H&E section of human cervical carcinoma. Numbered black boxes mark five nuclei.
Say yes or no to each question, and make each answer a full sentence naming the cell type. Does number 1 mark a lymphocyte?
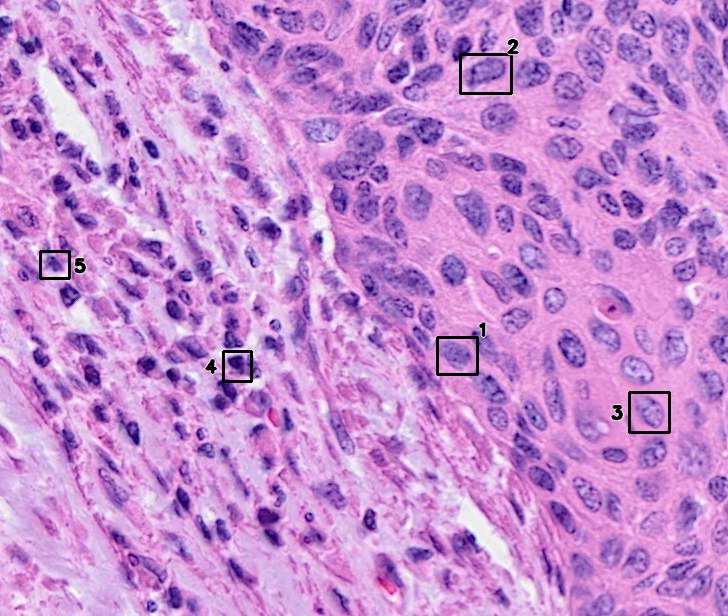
No, cell 1 has been misnamed; it is a squamous carcinoma cell, not a lymphocyte.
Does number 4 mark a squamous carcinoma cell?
No, as for cell 4, it is a lymphocyte and not a squamous carcinoma cell.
